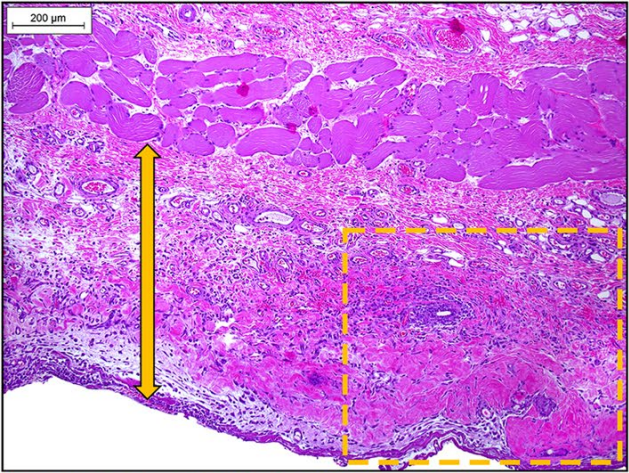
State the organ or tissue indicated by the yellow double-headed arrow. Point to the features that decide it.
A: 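The arrow spans a cellular, vascular layer between the muscle bundles at the top and the lower surface. This layer has many small vessels and densely packed cells in a loose pink matrix. On this evidence: granulation tissue.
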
